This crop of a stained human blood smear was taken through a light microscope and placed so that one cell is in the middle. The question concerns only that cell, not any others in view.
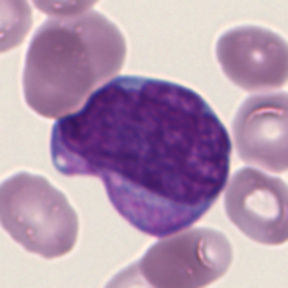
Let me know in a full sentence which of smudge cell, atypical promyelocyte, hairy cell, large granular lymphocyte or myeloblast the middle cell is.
Framed in the middle of the crop is an atypical promyelocyte.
